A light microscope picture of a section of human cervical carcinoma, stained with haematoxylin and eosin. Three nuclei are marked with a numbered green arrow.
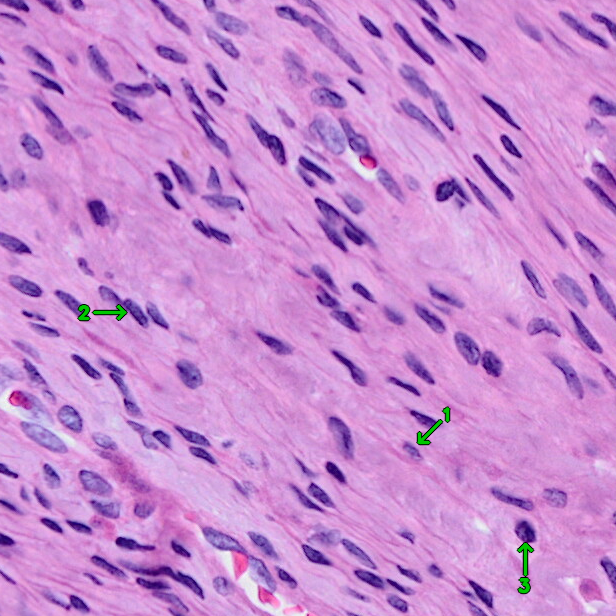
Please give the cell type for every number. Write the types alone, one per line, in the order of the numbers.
smooth muscle cell
fibroblast
lymphocyte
